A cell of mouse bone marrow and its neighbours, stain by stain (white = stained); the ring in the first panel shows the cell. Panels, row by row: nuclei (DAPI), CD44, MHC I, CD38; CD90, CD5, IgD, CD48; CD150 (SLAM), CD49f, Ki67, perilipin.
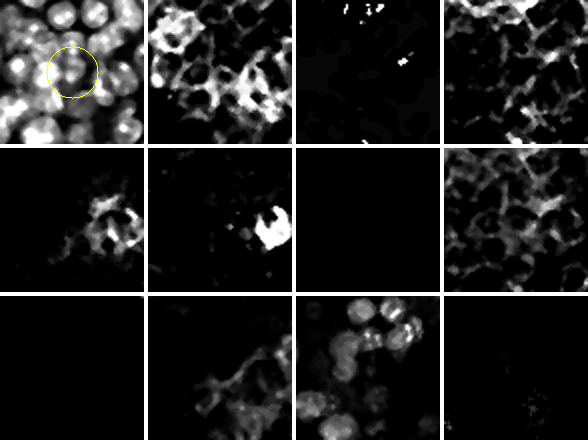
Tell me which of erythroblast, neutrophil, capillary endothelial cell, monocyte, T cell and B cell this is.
The picture shows a monocyte.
